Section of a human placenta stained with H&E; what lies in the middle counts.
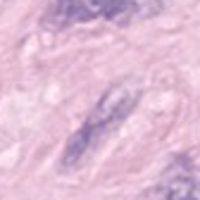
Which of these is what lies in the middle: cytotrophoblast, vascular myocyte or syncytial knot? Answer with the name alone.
vascular myocyte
